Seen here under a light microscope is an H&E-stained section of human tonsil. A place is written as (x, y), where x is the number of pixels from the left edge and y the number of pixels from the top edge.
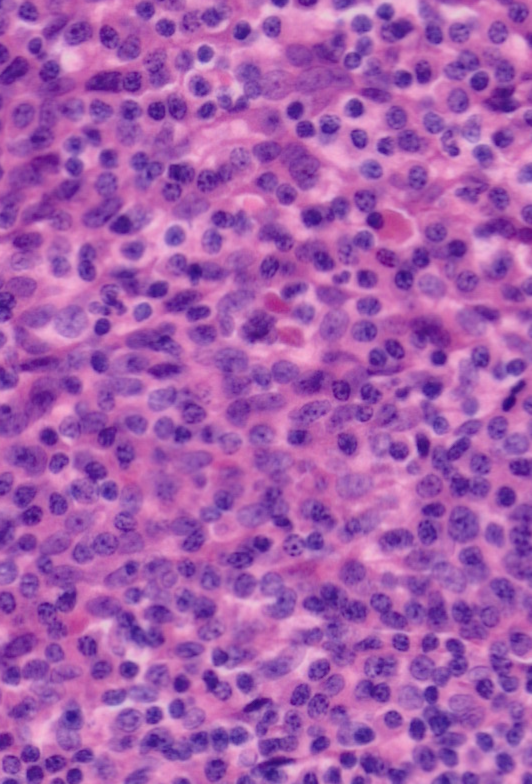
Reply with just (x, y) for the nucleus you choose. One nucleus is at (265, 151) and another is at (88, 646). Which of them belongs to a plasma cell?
(88, 646)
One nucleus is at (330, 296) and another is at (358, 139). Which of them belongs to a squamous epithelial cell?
(330, 296)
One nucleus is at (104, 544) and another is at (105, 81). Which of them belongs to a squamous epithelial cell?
(105, 81)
